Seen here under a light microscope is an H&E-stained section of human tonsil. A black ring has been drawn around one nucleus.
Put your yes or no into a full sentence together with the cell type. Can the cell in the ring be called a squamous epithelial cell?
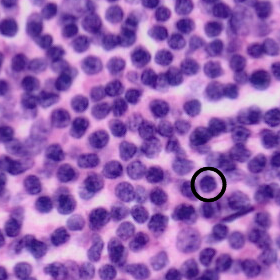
No, put down a small lymphocyte for the cell in the ring, not a squamous epithelial cell.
